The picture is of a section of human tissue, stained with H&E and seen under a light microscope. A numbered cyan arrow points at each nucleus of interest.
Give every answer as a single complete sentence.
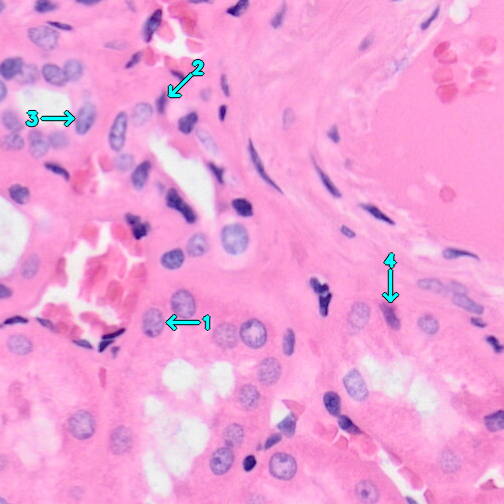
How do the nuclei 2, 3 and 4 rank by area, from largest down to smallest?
The nuclei rank 3, 4, 2, from largest to smallest.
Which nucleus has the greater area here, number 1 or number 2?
At about 2.5 times the area of nucleus 2, nucleus 1 is the larger of the two.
